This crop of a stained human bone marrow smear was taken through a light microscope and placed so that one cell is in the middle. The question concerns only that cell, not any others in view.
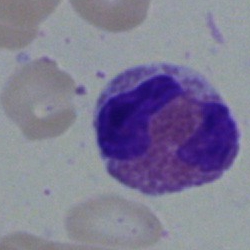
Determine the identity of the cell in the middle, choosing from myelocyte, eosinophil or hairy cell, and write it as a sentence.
The cell under consideration, at the middle of the crop, is an eosinophil.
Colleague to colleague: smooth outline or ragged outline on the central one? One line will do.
No surface projections are present; the cell outline is smooth.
